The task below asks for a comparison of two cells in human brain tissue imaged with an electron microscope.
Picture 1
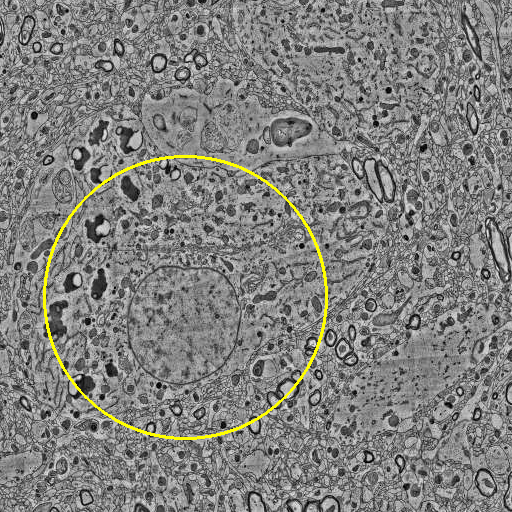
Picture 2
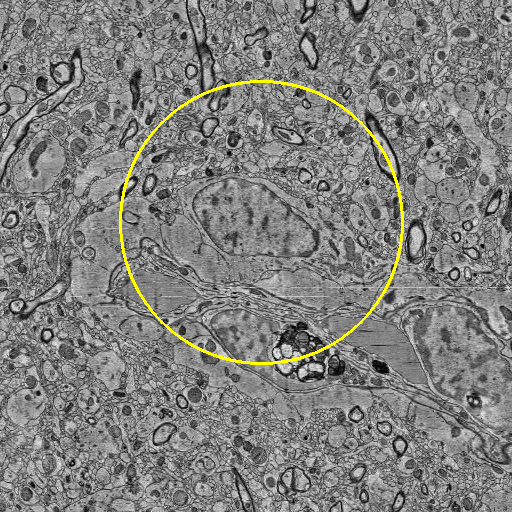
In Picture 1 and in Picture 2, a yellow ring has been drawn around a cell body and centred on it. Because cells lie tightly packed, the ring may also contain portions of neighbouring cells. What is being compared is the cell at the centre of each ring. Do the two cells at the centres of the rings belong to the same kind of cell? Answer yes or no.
no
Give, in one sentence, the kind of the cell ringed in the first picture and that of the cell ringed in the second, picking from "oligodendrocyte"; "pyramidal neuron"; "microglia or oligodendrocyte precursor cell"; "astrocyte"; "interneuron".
For the first picture it is a pyramidal neuron; for the second, a microglial cell or oligodendrocyte precursor cell.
